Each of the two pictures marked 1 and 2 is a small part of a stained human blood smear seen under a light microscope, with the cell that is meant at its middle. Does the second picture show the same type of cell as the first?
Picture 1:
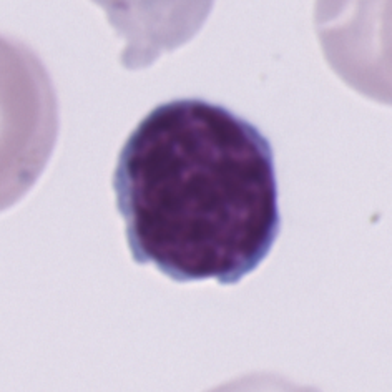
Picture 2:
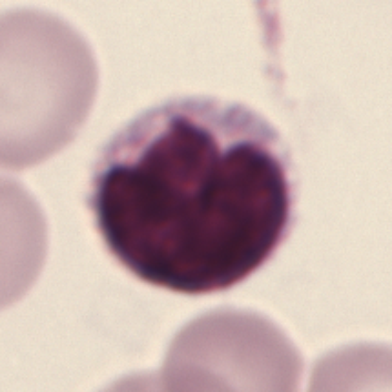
yes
